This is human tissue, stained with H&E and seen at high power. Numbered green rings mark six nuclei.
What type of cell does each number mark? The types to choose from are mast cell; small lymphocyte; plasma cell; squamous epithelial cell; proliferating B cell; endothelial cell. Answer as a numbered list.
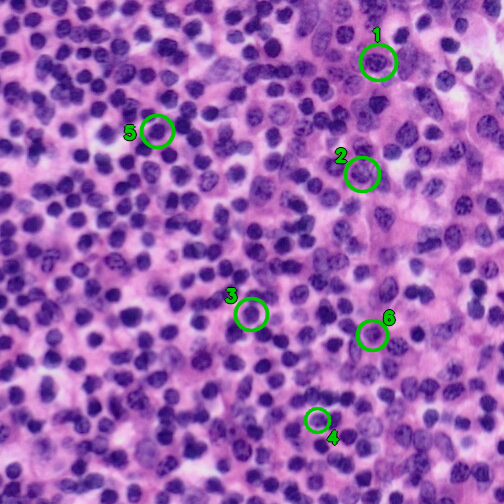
1. plasma cell
2. plasma cell
3. small lymphocyte
4. small lymphocyte
5. small lymphocyte
6. plasma cell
